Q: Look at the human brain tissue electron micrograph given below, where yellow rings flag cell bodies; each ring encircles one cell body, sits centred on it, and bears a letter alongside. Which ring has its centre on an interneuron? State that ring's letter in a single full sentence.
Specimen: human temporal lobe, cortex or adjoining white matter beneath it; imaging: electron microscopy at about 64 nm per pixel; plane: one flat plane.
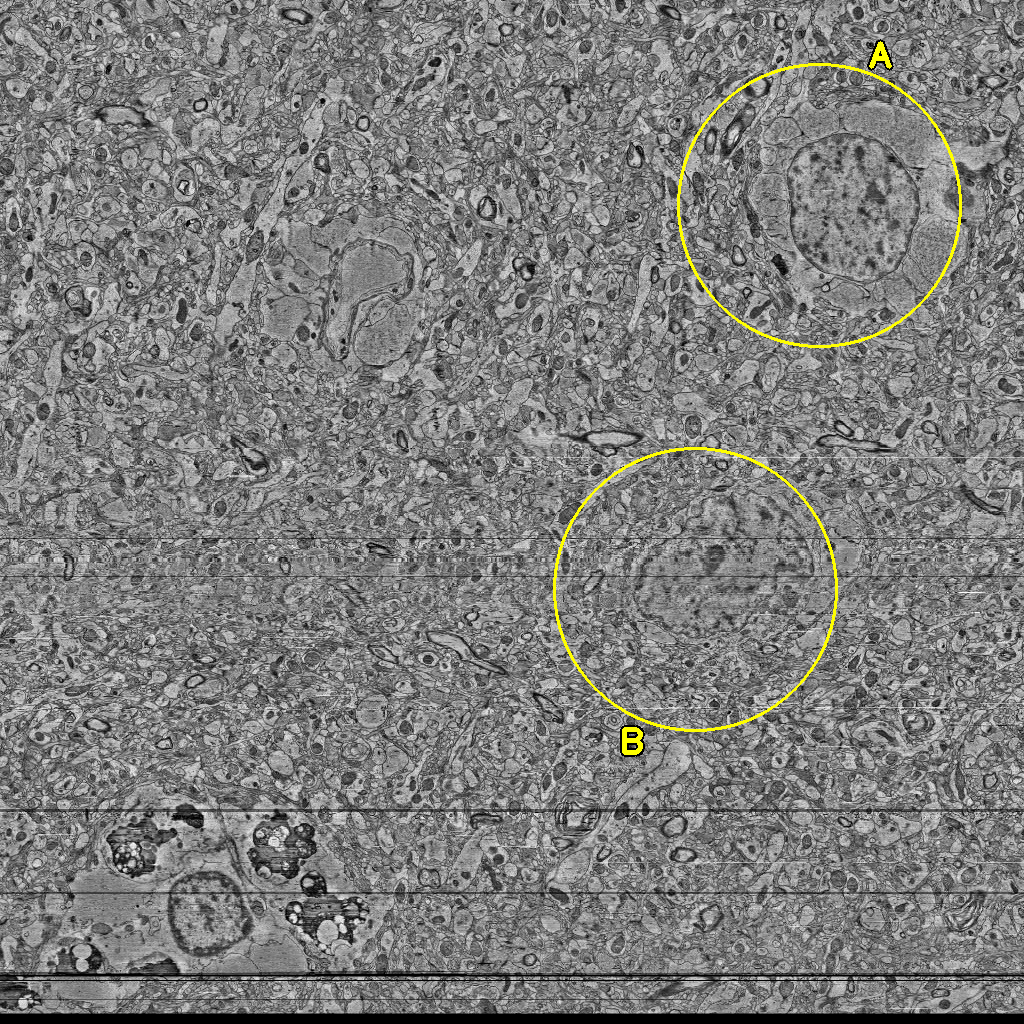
In the picture, the cell of that kind sits at the centre of ring B.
